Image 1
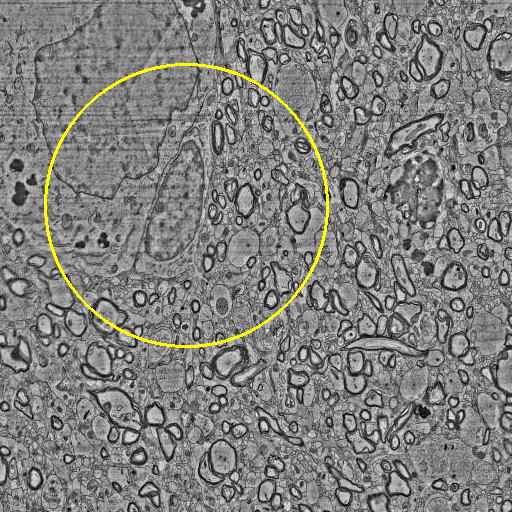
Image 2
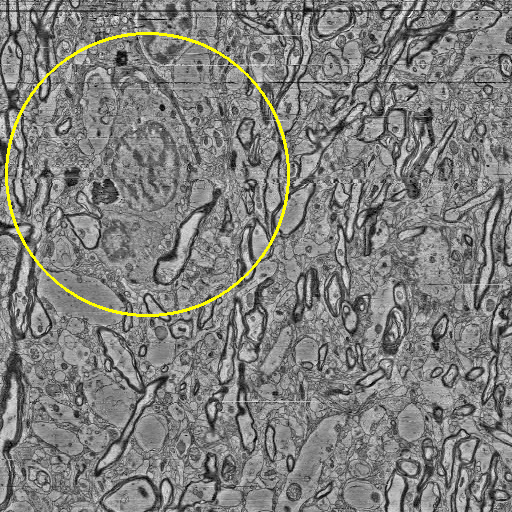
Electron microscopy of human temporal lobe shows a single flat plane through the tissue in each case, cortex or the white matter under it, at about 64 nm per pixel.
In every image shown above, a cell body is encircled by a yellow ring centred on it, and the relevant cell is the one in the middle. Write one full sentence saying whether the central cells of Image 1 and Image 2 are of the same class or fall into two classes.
The cell at the ring's centre in Image 1 and its counterpart in Image 2 fall into two classes.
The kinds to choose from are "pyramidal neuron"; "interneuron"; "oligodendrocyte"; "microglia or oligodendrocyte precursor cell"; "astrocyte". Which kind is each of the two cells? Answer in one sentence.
Of the two, the first cell is a microglial cell or oligodendrocyte precursor cell and the second cell is an oligodendrocyte.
